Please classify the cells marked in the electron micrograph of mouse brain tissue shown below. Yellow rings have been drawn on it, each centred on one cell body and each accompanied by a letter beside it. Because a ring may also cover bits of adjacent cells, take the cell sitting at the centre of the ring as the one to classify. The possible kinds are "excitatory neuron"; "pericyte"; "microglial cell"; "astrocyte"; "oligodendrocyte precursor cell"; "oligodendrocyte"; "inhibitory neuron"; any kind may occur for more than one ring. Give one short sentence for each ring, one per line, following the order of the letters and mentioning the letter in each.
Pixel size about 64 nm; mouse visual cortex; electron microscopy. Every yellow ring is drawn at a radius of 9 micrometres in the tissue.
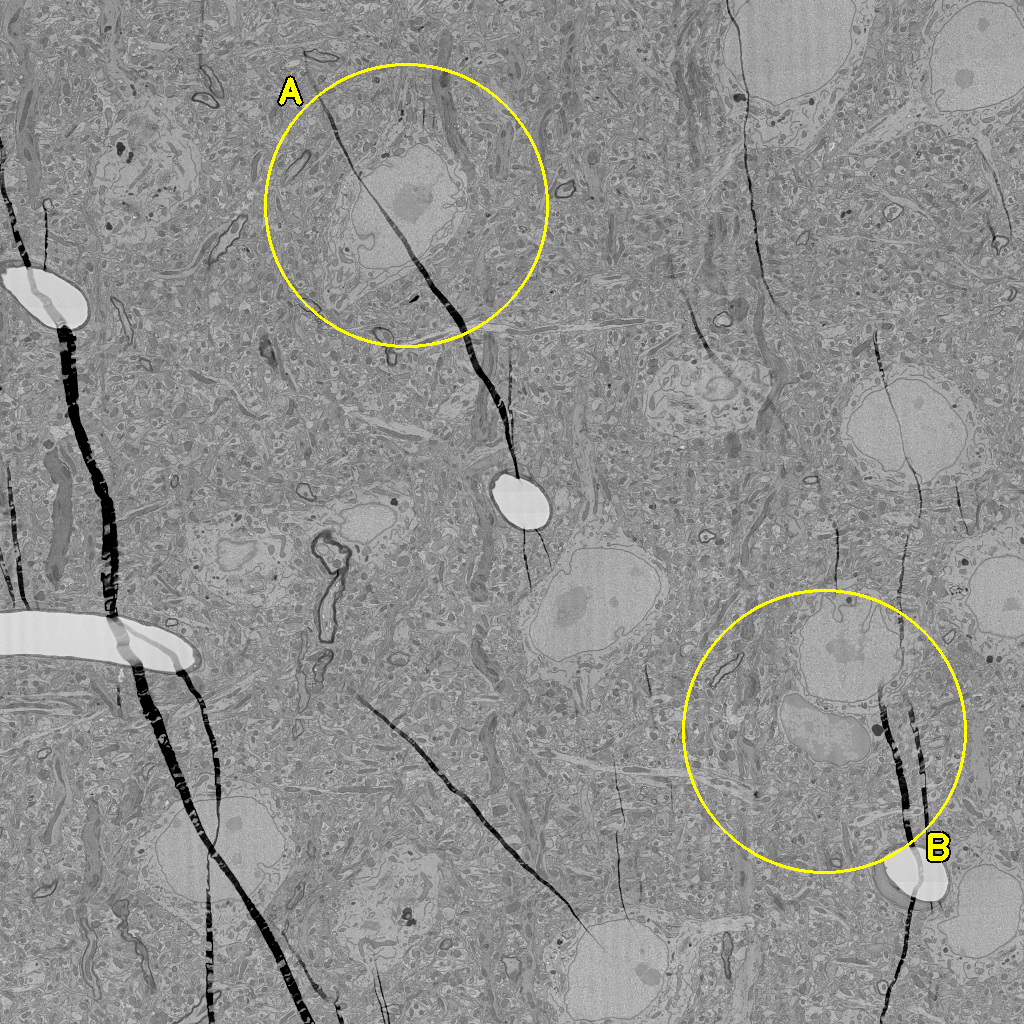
Ring A marks the cell body of an inhibitory neuron.
Ring B marks the cell body of a microglial cell.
